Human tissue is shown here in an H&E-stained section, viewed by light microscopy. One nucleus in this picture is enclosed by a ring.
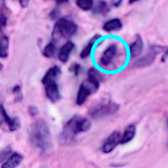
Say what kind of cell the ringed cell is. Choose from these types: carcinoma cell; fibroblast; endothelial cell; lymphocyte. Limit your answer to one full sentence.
Speaking plainly, the ringed cell is nothing other than a lymphocyte.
